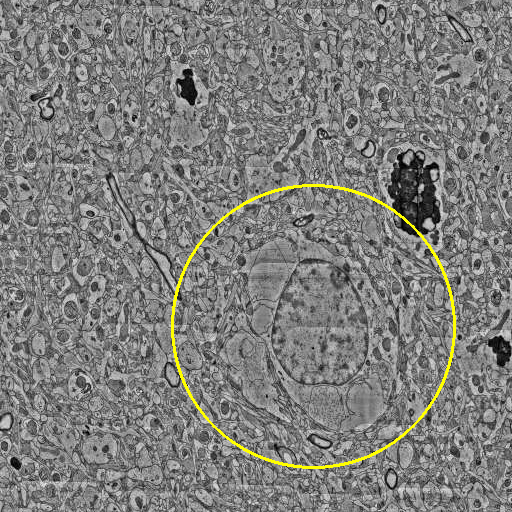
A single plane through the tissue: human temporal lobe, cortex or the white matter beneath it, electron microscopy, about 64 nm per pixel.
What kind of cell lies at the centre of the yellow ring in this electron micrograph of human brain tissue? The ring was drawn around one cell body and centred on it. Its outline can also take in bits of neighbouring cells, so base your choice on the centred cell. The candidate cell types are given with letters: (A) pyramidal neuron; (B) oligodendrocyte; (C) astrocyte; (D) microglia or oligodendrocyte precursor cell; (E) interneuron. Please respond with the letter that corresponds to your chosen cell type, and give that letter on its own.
C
